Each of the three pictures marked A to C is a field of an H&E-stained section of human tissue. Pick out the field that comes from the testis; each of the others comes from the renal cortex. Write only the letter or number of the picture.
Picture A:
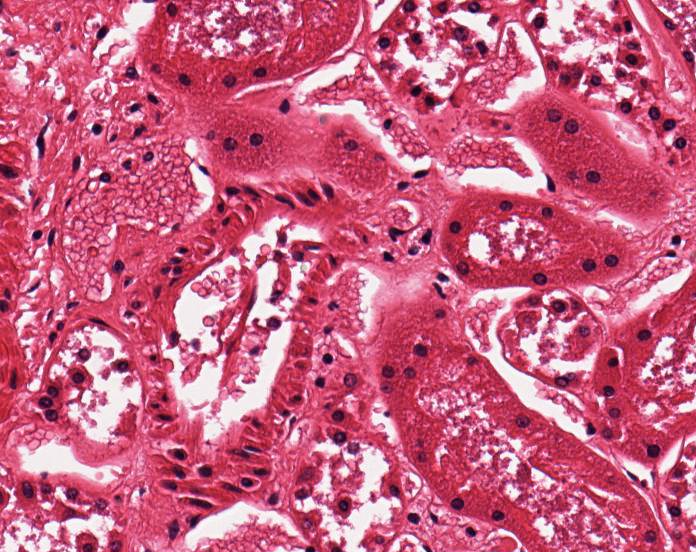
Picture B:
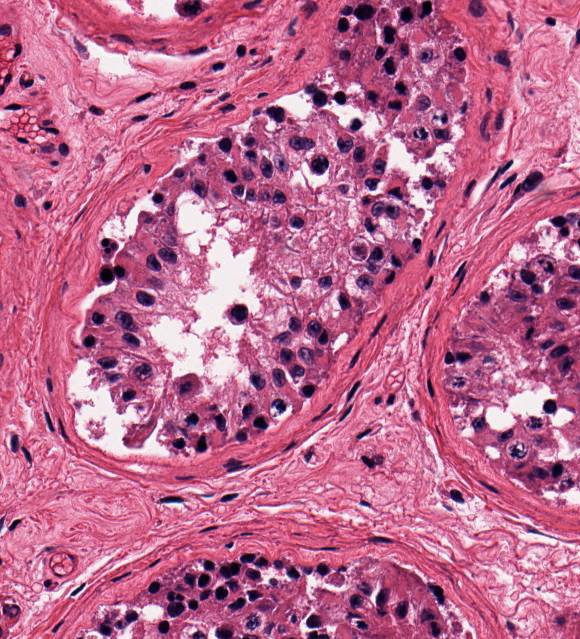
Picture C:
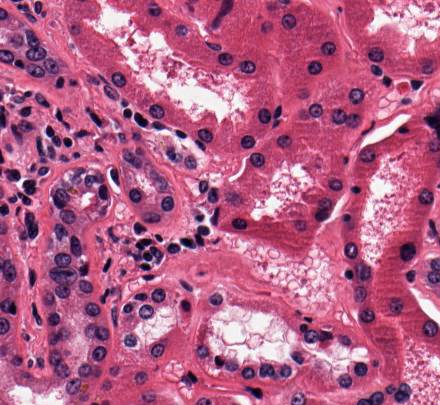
B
